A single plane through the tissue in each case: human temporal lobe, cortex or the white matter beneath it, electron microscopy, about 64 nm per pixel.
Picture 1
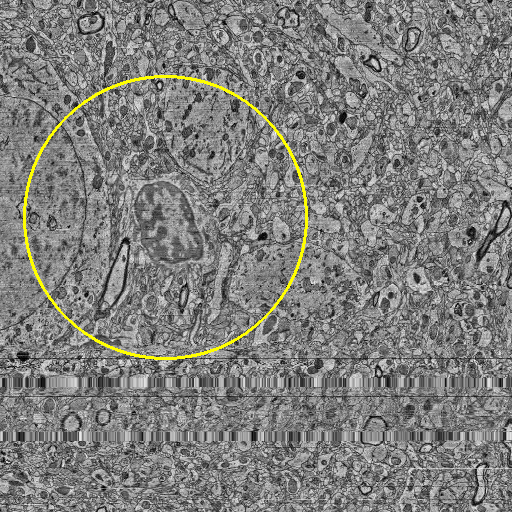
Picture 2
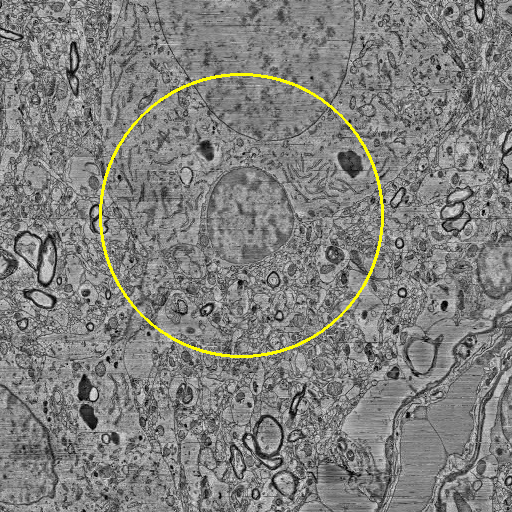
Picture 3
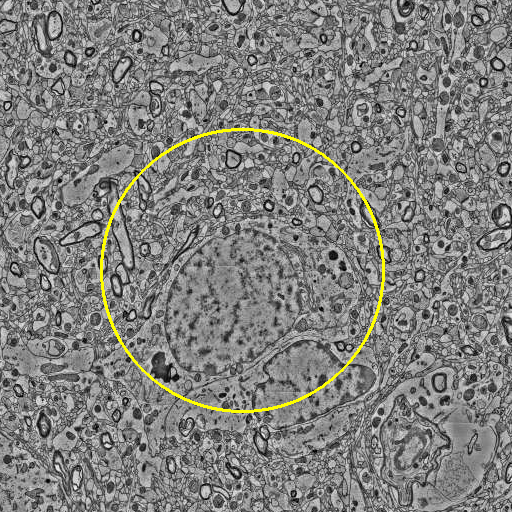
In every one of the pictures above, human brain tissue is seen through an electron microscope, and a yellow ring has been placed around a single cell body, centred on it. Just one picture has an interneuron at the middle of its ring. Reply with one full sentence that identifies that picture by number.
It is picture 3 that shows the wanted cell at its ring's centre.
